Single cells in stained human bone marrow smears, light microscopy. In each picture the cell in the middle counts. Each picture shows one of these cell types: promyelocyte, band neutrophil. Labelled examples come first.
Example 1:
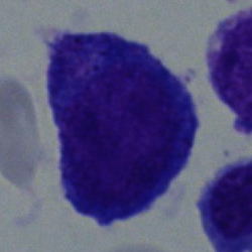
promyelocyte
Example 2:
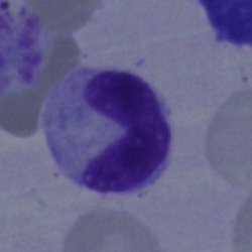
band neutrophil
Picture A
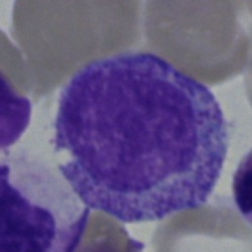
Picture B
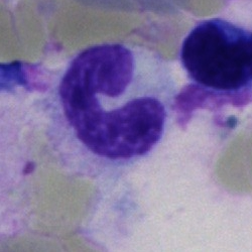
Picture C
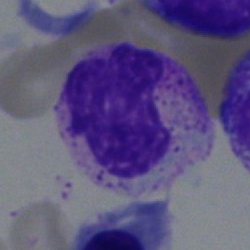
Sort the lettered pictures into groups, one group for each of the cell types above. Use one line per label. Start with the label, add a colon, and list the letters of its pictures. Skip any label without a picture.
promyelocyte: A
band neutrophil: B, C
